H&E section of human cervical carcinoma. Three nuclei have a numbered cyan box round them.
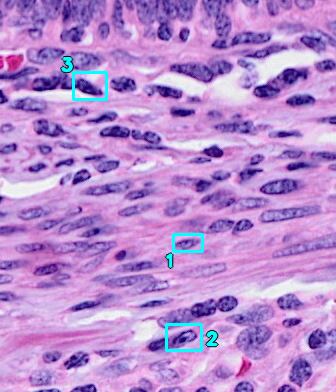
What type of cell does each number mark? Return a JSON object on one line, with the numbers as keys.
{"1": "smooth muscle cell", "2": "lymphocyte", "3": "lymphocyte"}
